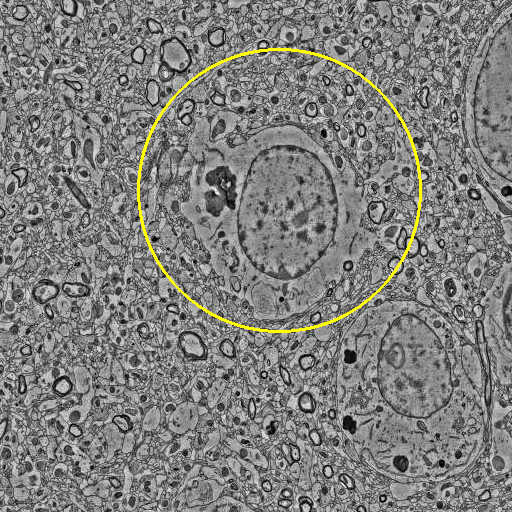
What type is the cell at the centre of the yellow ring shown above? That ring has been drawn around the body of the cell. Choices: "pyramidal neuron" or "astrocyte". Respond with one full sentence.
My answer is that an astrocyte lies at the centre of the yellow ring above.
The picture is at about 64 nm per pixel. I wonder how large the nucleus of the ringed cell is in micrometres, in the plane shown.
In this plane, approximately 8 by 7 micrometers.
